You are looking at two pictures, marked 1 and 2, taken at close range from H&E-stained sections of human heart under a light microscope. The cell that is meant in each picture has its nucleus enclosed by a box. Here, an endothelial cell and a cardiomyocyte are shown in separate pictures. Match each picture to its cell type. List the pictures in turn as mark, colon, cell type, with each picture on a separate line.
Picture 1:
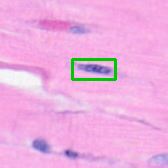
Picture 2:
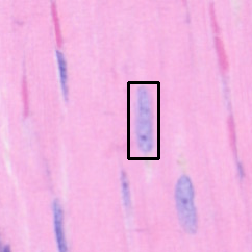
1: endothelial cell
2: cardiomyocyte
